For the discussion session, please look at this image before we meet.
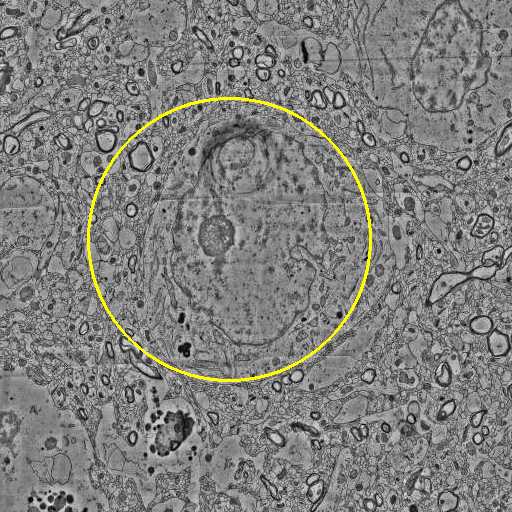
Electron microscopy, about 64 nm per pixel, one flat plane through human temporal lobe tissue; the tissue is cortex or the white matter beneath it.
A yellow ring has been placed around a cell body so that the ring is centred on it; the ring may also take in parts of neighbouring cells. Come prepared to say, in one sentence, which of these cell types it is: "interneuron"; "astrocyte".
The cell centred in the ring is an interneuron.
